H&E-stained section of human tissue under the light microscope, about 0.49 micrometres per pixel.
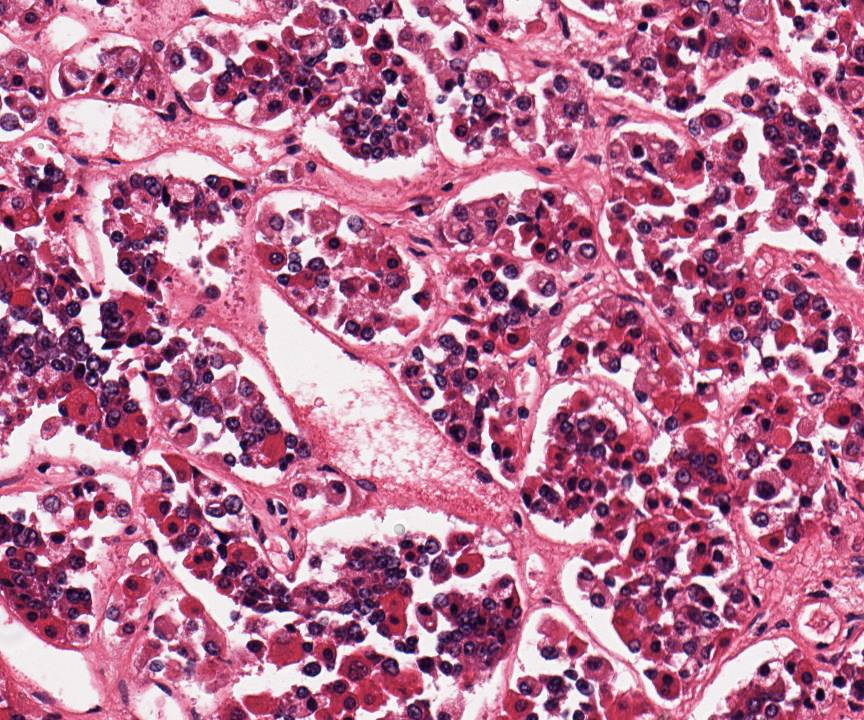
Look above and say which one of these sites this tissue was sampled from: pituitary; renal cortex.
pituitary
